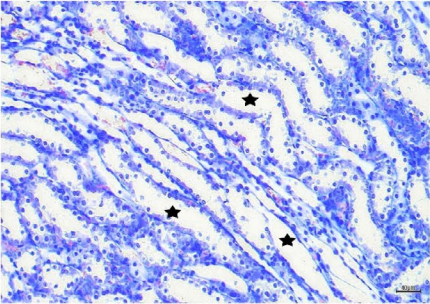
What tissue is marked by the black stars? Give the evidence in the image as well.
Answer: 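The stars sit in the lumens of long parallel tubes. The tubes are lined by a single layer of epithelial cells.
Conclusion: Kidney tubules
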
